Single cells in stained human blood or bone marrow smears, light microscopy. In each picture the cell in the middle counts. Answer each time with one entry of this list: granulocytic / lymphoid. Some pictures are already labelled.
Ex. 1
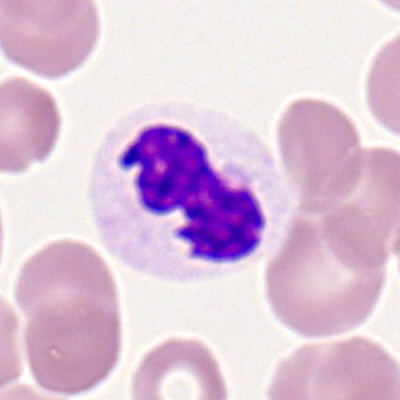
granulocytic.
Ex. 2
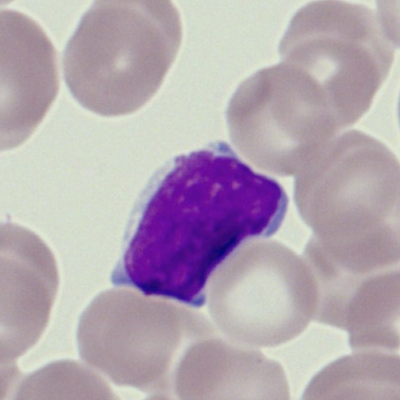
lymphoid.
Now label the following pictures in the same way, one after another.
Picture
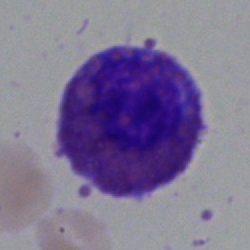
granulocytic.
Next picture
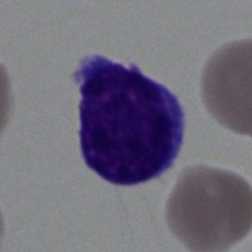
lymphoid.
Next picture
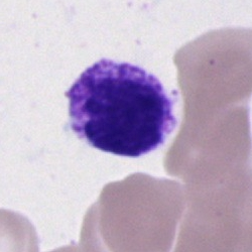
granulocytic.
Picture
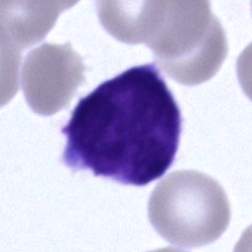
lymphoid.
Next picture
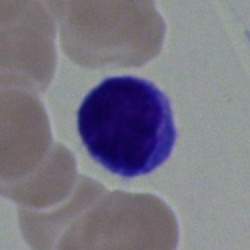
lymphoid.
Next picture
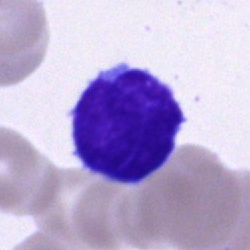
lymphoid.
